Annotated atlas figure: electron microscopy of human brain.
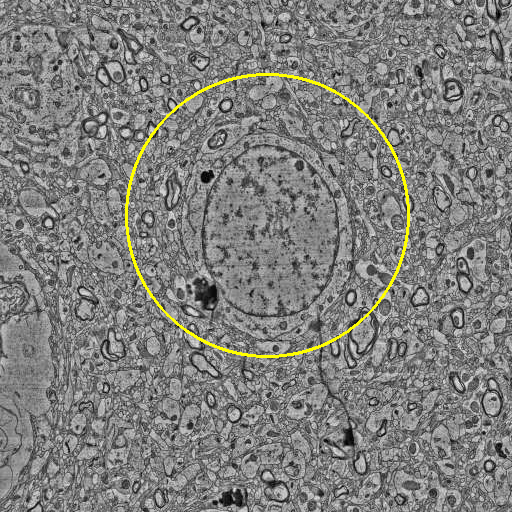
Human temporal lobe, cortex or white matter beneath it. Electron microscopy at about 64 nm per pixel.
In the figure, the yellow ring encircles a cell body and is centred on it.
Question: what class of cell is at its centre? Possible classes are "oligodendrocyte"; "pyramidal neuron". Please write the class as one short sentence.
The yellow ring is drawn around a pyramidal neuron.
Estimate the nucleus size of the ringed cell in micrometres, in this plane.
In this plane the nucleus spans approximately 11 by 9 micrometers.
